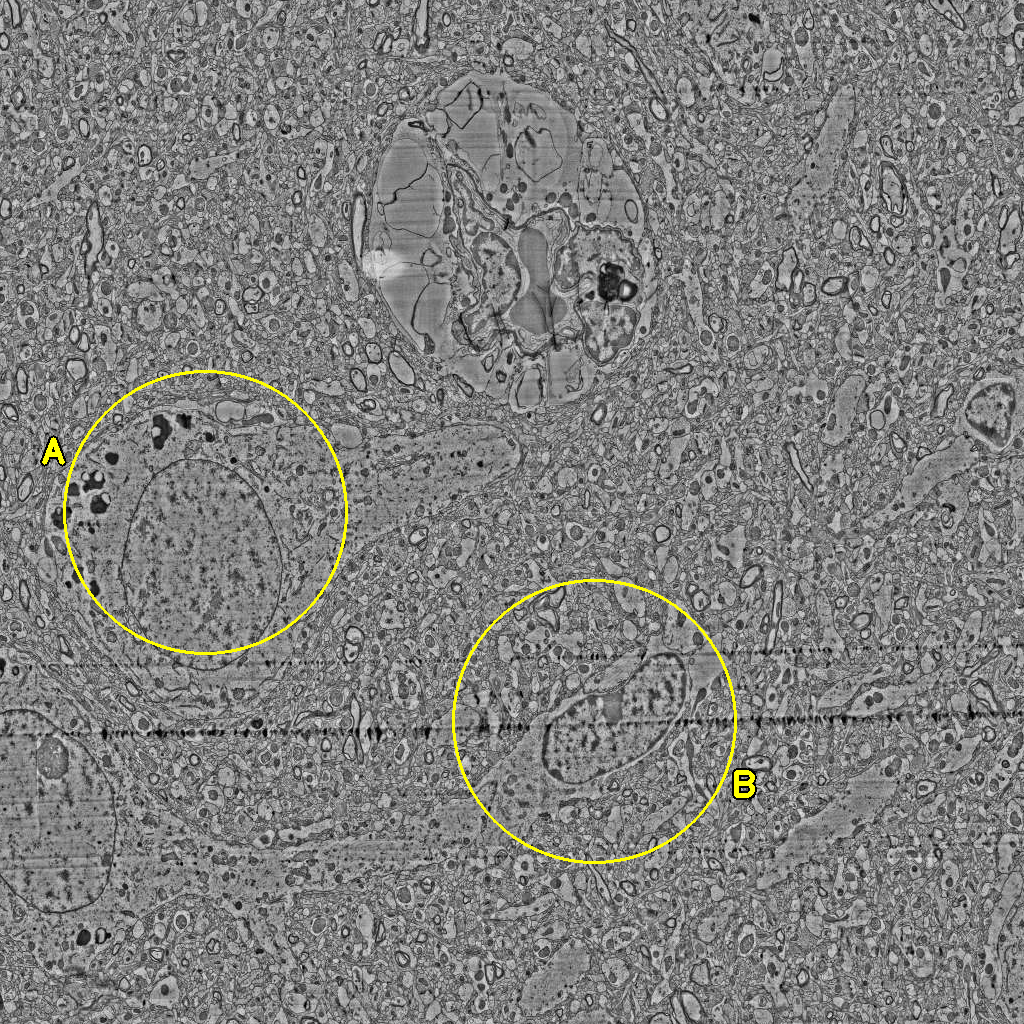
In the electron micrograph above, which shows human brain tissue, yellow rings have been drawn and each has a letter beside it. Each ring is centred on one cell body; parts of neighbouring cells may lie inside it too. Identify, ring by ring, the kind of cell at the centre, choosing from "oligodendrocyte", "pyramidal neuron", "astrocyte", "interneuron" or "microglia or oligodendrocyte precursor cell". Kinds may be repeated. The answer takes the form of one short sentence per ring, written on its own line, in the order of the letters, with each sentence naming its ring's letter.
Inside ring A, at its centre, is a pyramidal neuron.
Inside ring B, at its centre, is a microglial cell or oligodendrocyte precursor cell.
